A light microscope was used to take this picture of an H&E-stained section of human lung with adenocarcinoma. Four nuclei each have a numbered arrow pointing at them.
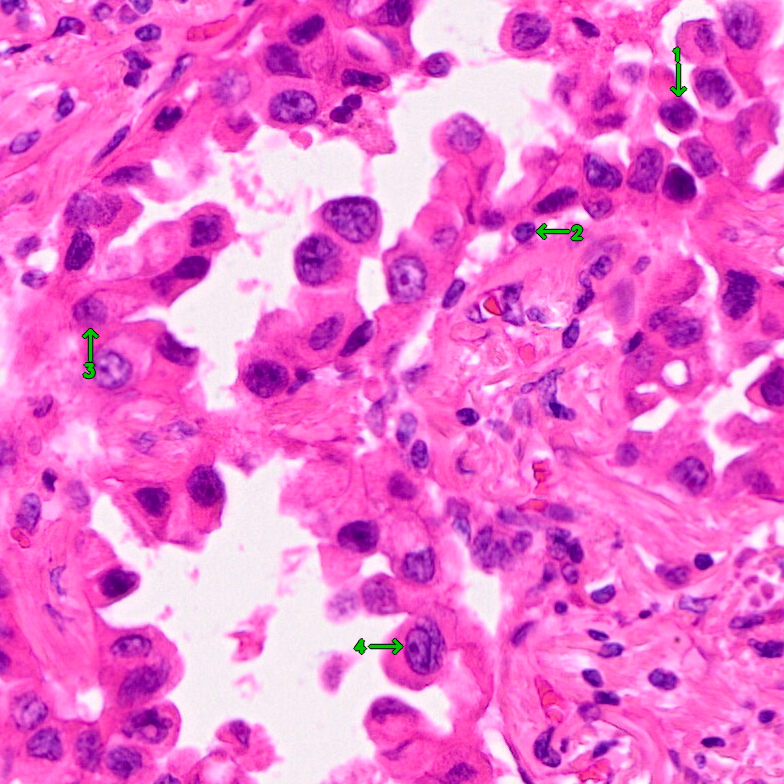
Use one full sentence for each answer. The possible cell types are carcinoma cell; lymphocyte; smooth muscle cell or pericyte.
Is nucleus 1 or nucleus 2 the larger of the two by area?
Number 1 is larger; its area is about 2.5 times that of number 2.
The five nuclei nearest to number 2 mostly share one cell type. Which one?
Of the five nuclei nearest to number 2, most belong to carcinoma cells.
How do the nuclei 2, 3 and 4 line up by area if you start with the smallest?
By area, going up from the smallest, they rank 2, 3, 4.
